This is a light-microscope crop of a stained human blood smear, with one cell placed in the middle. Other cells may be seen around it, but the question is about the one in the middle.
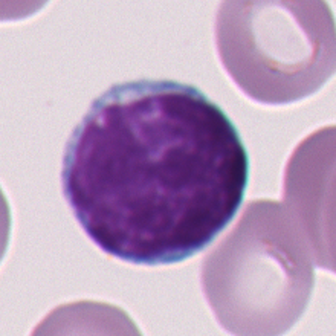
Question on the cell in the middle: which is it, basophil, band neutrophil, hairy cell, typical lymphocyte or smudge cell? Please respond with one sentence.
The crop centres on a single cell, and that cell is a typical lymphocyte.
